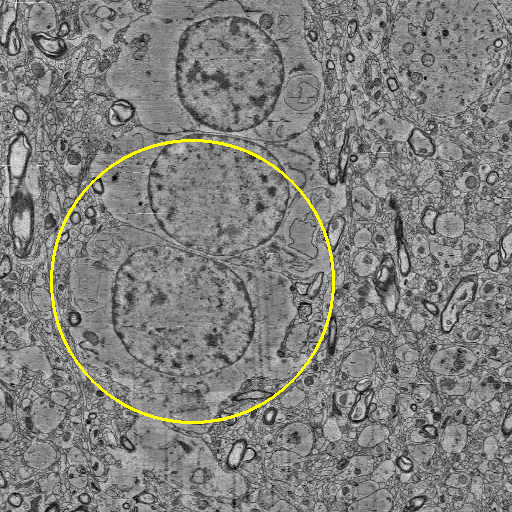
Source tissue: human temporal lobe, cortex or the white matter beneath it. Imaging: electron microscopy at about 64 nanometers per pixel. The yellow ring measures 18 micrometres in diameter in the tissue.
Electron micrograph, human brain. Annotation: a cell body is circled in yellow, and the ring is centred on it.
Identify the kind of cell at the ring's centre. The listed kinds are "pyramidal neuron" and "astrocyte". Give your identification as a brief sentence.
The circled cell body is that of an astrocyte.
